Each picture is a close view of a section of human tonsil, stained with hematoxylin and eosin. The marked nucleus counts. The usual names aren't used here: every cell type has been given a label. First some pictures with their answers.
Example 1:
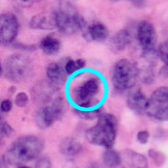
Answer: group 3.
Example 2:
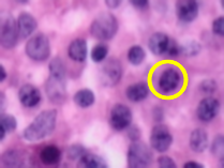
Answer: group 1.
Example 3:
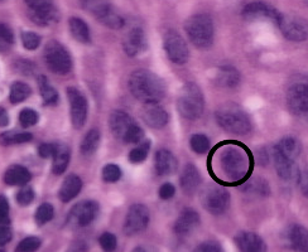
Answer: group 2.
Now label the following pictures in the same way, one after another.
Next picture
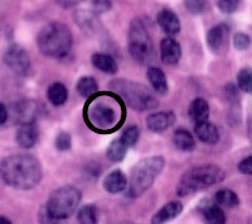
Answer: group 1.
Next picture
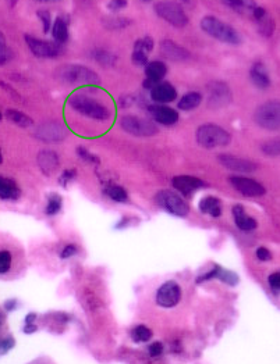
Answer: group 2.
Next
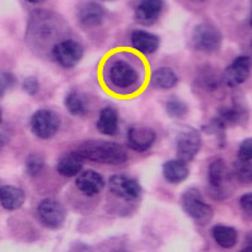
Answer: group 1.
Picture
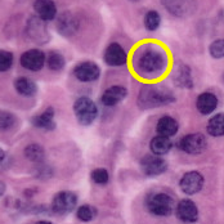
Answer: group 1.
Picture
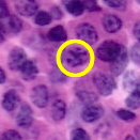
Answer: group 1.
